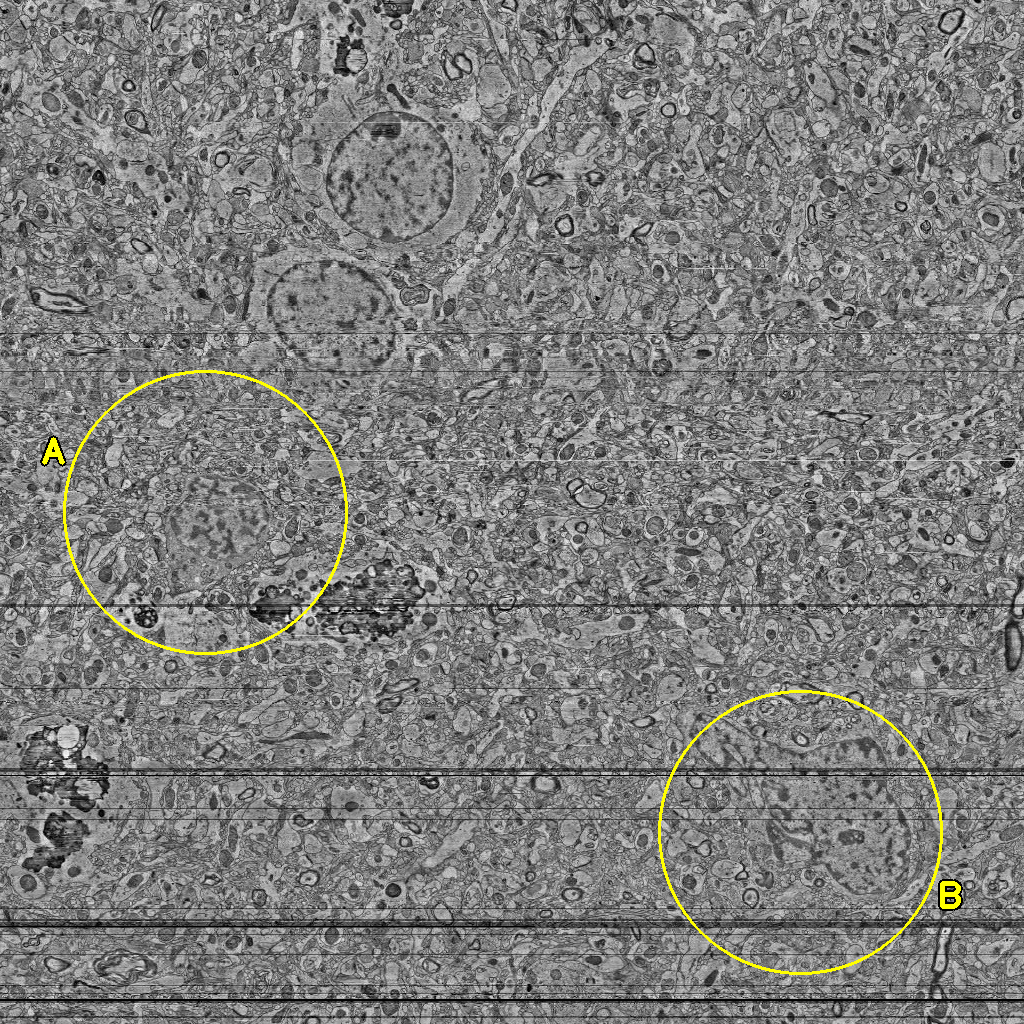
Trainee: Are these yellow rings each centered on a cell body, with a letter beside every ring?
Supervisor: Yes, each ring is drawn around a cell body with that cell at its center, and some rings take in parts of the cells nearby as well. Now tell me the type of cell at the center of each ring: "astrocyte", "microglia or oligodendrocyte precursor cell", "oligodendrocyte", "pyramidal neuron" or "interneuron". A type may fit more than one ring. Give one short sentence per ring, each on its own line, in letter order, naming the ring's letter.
Ring A has an oligodendrocyte at its center.
Ring B has a microglial cell or oligodendrocyte precursor cell at its center.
